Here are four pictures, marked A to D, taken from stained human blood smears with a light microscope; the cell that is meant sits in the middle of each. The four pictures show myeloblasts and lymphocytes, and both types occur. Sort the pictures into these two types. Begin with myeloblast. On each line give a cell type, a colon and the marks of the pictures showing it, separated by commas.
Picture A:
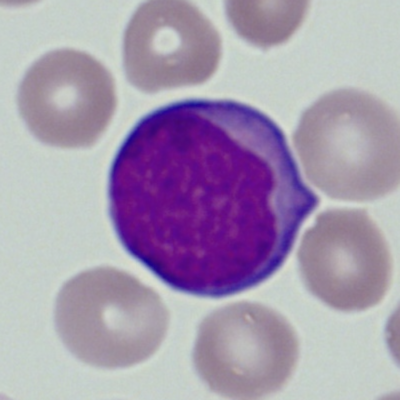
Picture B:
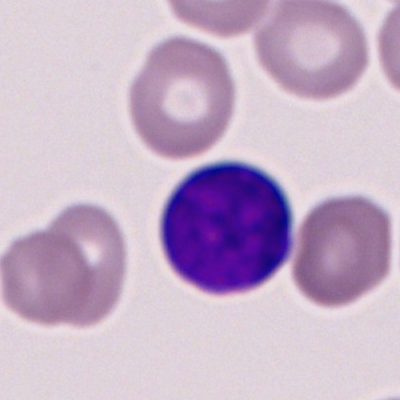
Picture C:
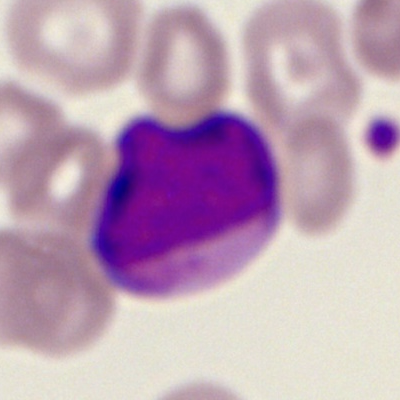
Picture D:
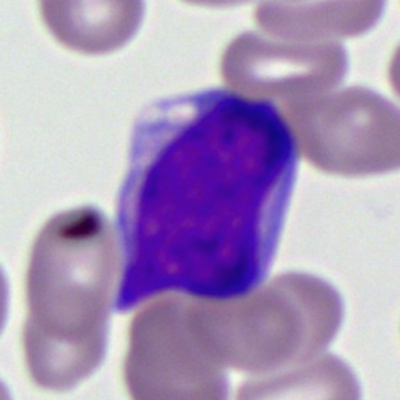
myeloblast: A, C, D
lymphocyte: B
